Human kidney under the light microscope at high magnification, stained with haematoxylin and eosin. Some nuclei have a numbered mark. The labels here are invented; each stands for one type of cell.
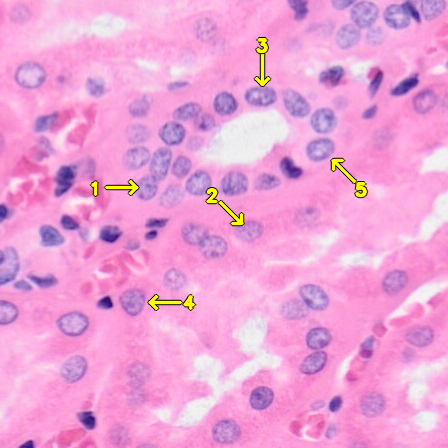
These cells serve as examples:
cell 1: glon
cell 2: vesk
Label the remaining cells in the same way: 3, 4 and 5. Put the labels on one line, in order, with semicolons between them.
glon; vesk; glon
